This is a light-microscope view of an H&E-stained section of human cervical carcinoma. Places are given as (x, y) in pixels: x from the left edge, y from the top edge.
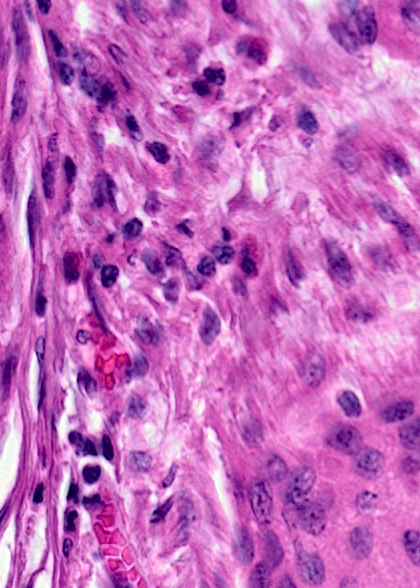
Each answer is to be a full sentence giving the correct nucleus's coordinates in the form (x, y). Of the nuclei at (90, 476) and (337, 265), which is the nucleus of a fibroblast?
The nucleus whose position is (337, 265) belongs to a fibroblast.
